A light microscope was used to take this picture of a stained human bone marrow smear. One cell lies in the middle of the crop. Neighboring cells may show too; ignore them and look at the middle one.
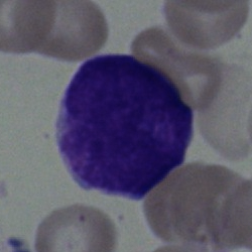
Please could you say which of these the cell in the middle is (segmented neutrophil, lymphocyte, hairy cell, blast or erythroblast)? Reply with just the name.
blast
